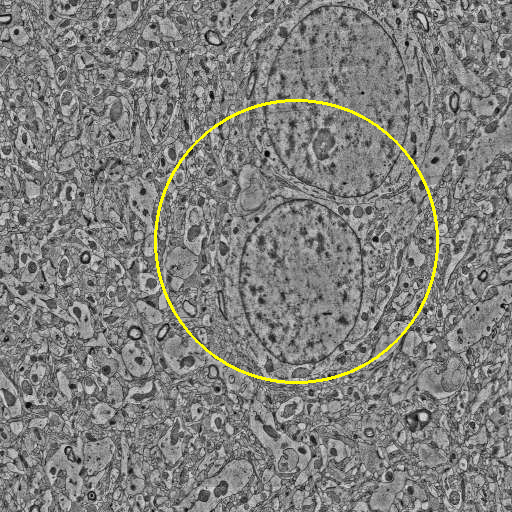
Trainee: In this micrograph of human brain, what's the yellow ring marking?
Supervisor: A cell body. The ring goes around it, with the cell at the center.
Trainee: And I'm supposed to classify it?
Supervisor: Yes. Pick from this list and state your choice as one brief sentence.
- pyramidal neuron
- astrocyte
The cell at the ring's center is a pyramidal neuron.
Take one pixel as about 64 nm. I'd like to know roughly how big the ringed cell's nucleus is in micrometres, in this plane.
Approximately 11 micrometres long and 8 micrometres wide, in this plane.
